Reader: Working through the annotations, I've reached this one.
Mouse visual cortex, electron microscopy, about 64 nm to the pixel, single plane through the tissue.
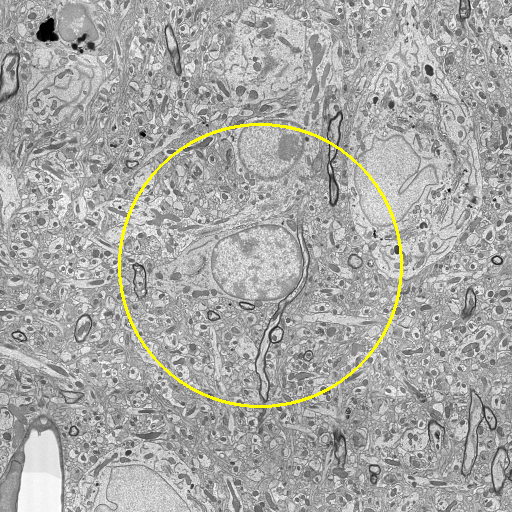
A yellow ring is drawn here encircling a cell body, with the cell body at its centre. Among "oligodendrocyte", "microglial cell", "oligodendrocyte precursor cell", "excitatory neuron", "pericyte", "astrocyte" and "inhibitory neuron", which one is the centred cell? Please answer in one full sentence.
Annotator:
The cell body at the centre of the yellow ring in this image belongs to an oligodendrocyte.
